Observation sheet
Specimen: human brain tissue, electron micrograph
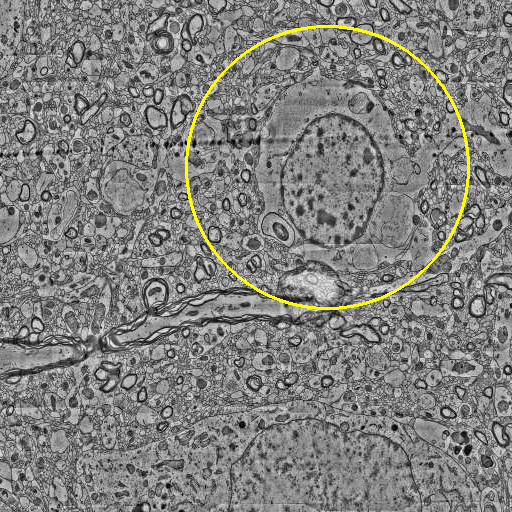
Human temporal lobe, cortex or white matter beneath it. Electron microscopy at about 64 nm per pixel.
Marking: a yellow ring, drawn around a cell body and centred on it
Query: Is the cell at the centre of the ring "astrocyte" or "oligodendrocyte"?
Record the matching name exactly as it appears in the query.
astrocyte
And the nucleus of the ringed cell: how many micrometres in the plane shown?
The ringed cell's nucleus is about 8 micrometres long and 7 micrometres wide in this plane.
